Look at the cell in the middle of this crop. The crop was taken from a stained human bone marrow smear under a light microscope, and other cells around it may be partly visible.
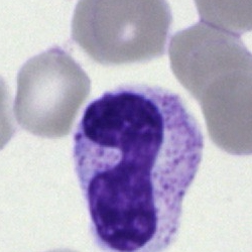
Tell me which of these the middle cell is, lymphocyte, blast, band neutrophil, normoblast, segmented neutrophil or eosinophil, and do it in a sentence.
Among the cells in view, the one in the middle is a band neutrophil.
